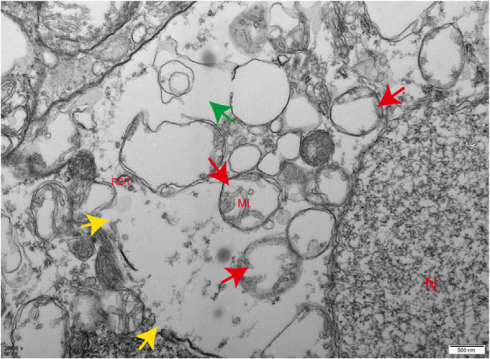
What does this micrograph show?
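This electron micrograph shows a nucleus at the right beside cytoplasm filled with enlarged, round mitochondria. Most mitochondria are pale and swollen with few remaining cristae, while a few darker ones keep a denser interior. Between them the cytoplasm is sparse and watery, with scattered membrane fragments.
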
